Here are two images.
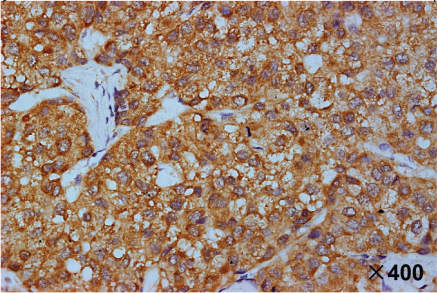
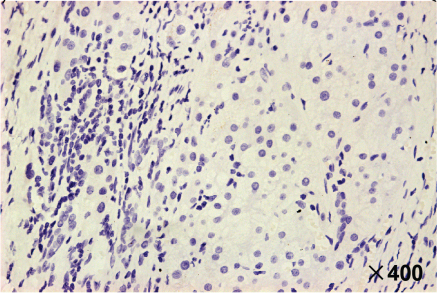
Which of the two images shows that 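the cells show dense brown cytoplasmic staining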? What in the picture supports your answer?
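The first image. Second image: cells and nuclei are blue only, with no brown colour. First image: nearly all tumour cells have strong brown cytoplasm around blue nuclei.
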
